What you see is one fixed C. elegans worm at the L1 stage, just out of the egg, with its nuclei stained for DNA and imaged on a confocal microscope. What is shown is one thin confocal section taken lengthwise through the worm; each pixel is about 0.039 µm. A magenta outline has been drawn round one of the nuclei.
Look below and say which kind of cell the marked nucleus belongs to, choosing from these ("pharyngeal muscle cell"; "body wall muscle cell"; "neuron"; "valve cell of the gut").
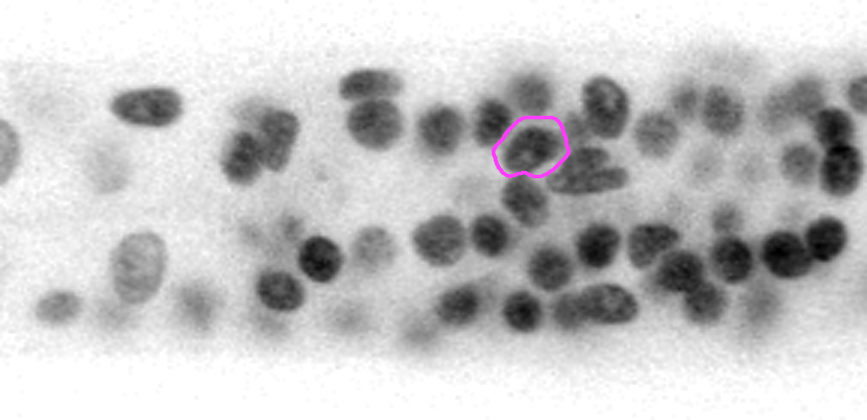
pharyngeal muscle cell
